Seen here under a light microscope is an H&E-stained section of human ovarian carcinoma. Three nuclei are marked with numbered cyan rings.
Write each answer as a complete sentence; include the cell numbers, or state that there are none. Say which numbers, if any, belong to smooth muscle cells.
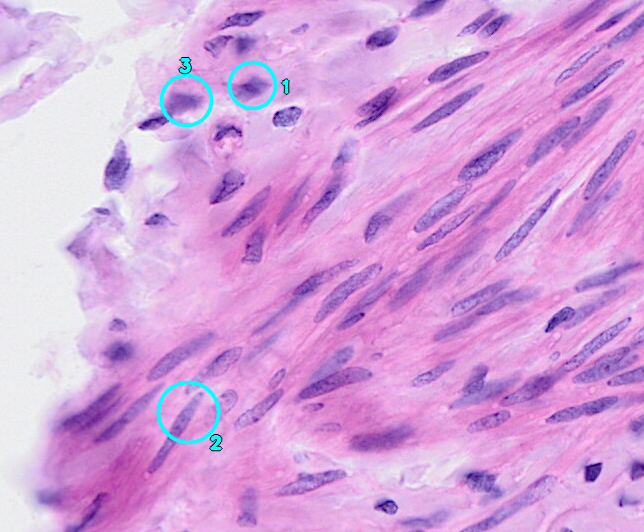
Among the numbered nuclei, only the one labelled 2 belongs to a smooth muscle cell.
